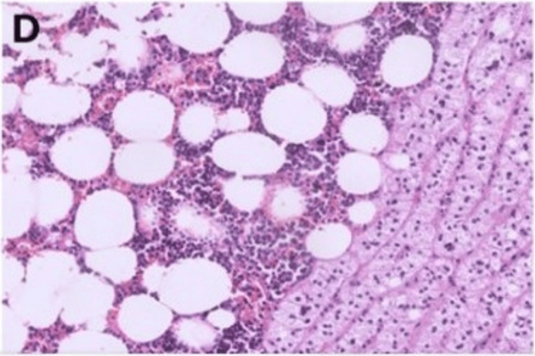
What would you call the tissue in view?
Adipose tissue and hematopoietic elements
